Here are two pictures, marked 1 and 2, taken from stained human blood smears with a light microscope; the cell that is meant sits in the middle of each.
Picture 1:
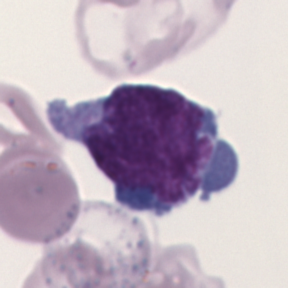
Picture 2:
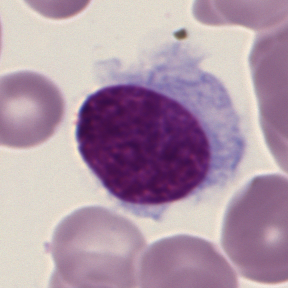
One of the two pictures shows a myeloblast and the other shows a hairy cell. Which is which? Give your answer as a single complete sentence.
Picture 2 shows a hairy cell, while picture 1 shows a myeloblast.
